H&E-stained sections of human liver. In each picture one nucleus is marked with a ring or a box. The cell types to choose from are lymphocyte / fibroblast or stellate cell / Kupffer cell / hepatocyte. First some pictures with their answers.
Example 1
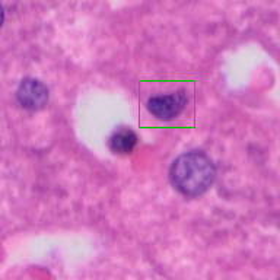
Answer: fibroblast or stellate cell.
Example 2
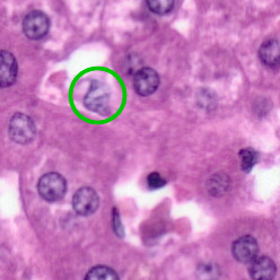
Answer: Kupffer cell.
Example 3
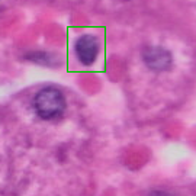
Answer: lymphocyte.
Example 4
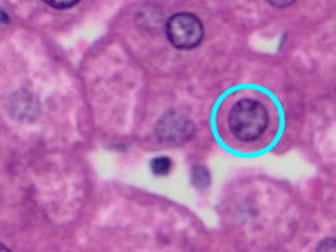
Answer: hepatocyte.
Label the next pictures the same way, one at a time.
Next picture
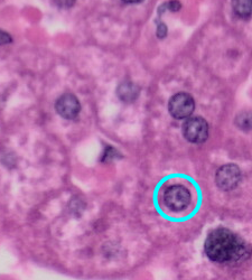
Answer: hepatocyte.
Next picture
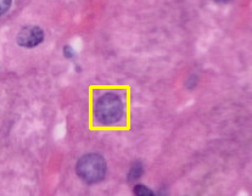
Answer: hepatocyte.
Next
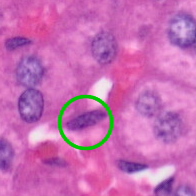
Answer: Kupffer cell.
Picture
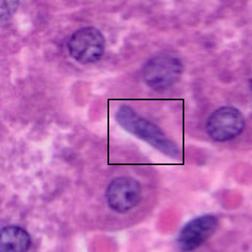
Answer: Kupffer cell.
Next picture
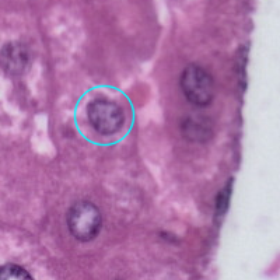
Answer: hepatocyte.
